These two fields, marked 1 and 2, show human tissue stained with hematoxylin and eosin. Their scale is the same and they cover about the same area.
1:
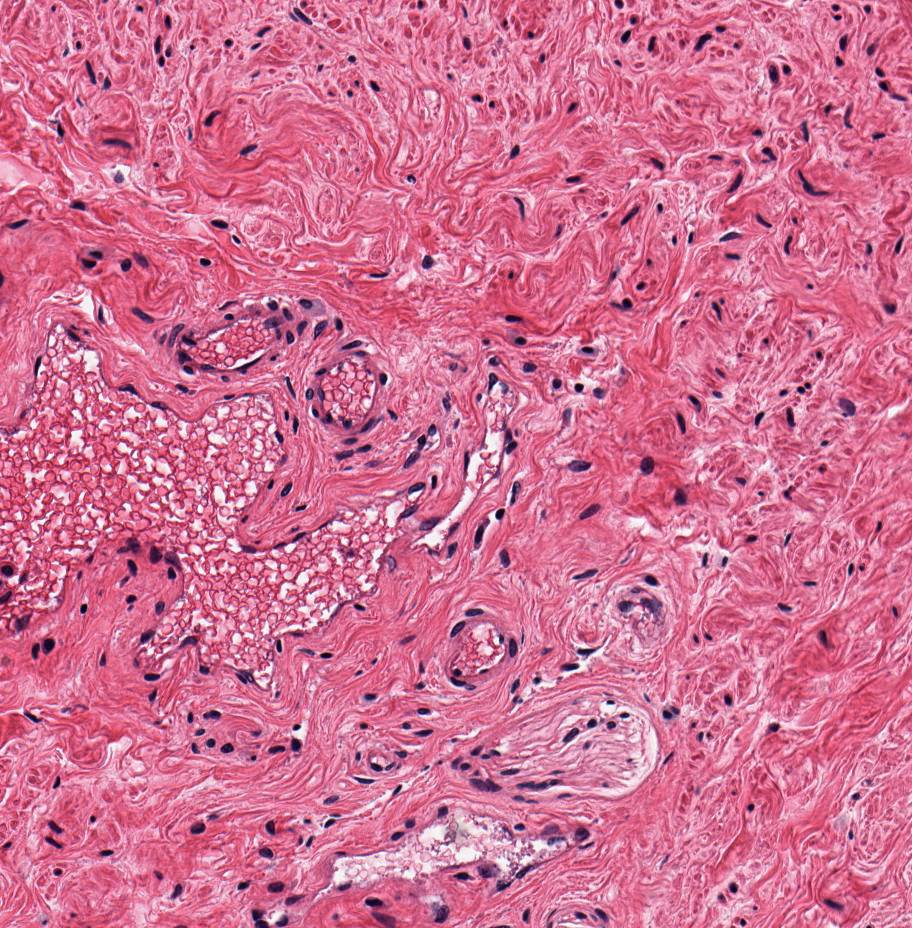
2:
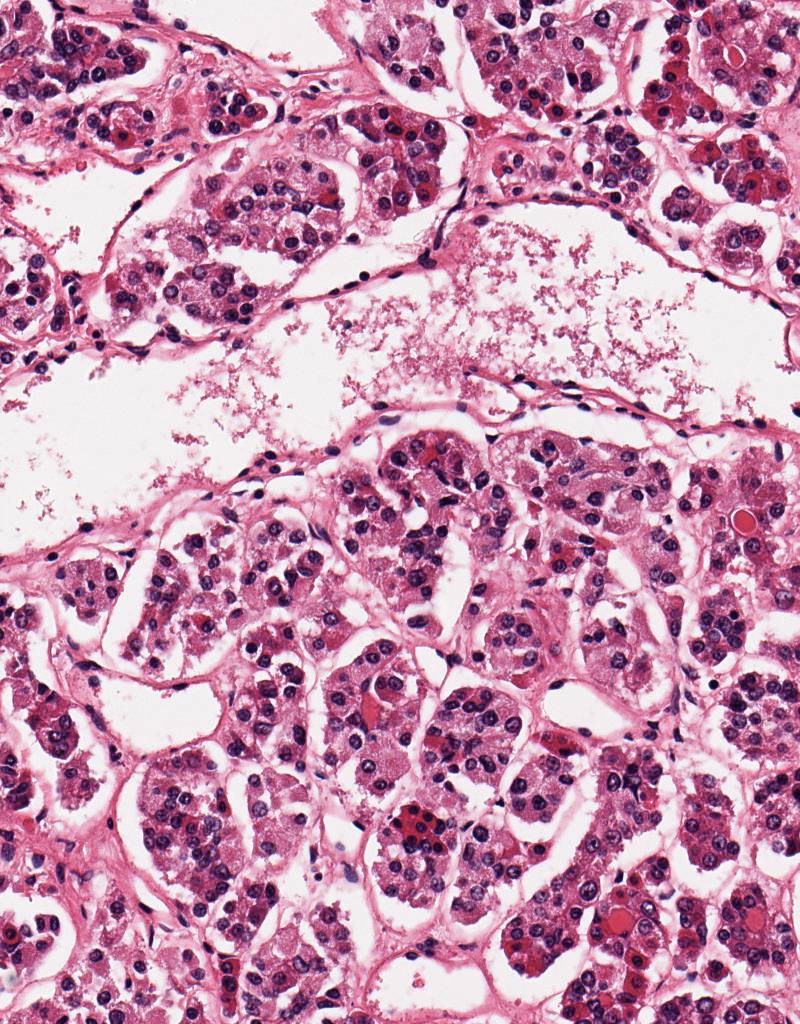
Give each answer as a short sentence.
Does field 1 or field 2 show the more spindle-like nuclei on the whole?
The nuclei are more elongated in field 1.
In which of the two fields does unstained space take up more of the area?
Unstained space takes up more of field 2 than of field 1.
